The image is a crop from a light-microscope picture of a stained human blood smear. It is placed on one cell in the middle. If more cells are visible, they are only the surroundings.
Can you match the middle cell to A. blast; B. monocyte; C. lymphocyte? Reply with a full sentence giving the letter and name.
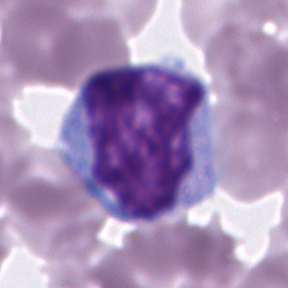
The central cell of the crop is a monocyte, which makes B the correct option.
